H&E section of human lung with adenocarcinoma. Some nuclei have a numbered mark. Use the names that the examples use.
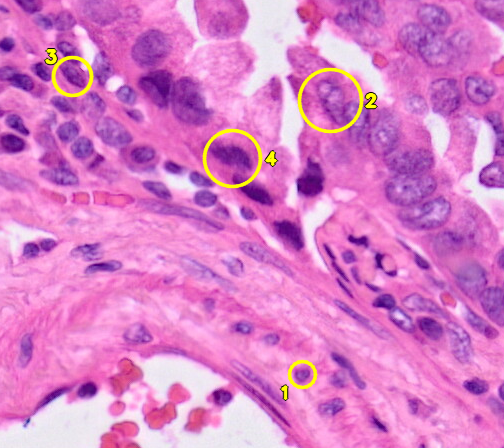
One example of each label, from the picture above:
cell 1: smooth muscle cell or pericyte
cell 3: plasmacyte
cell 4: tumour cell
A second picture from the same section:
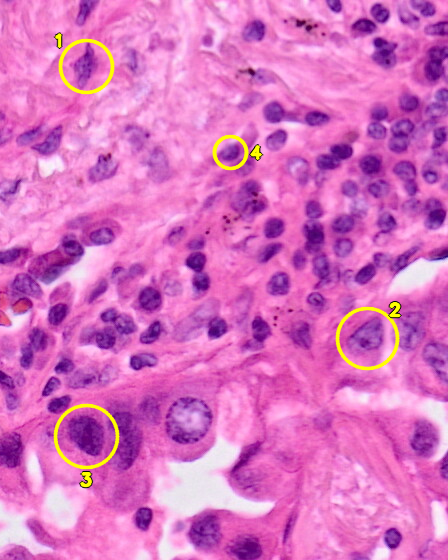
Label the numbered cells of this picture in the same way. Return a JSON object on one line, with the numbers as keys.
{"1": "smooth muscle cell or pericyte", "2": "tumour cell", "3": "tumour cell", "4": "plasmacyte"}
